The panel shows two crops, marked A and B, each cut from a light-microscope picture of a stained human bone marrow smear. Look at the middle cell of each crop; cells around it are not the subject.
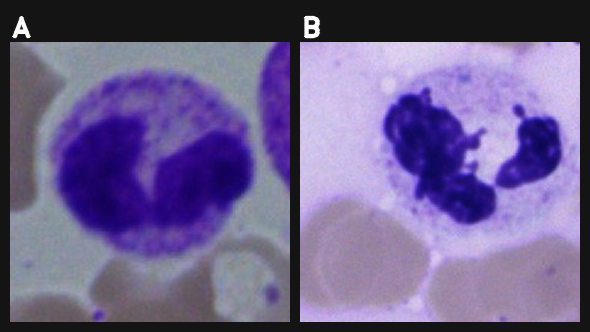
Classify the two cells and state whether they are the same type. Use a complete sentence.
Yes, neutrophils are what the two crops show.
